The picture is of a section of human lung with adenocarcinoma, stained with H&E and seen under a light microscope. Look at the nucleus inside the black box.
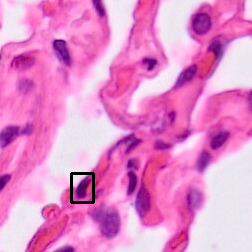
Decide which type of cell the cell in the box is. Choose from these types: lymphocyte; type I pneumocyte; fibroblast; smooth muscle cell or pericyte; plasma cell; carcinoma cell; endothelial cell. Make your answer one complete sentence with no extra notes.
In this section, the cell in the box is an endothelial cell.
